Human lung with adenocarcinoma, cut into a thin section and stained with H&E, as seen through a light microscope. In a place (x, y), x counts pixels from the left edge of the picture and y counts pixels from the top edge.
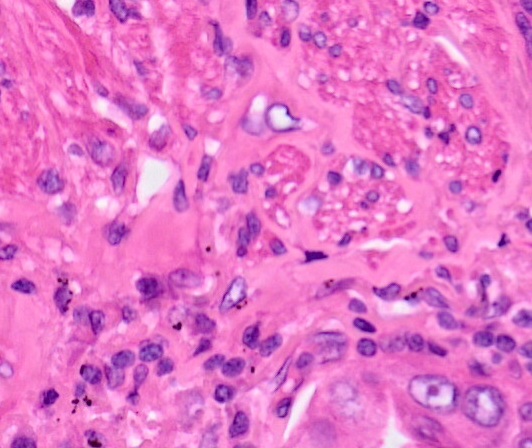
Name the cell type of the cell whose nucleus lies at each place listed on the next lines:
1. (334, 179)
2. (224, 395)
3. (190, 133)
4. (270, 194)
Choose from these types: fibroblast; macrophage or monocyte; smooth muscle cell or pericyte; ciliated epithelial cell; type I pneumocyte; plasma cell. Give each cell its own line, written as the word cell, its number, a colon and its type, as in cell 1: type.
cell 1: smooth muscle cell or pericyte
cell 2: plasma cell
cell 3: smooth muscle cell or pericyte
cell 4: smooth muscle cell or pericyte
